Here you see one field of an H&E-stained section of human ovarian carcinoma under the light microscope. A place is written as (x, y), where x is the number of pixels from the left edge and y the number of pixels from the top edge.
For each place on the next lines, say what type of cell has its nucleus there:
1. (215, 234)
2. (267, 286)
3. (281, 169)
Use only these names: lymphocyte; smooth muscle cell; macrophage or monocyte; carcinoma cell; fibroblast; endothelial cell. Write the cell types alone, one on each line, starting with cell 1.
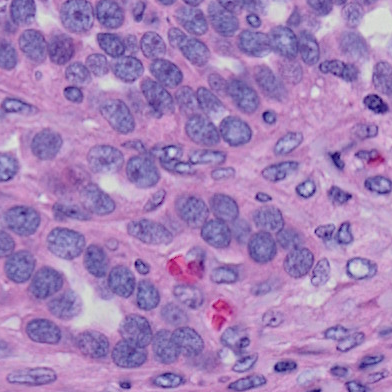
carcinoma cell
fibroblast
fibroblast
